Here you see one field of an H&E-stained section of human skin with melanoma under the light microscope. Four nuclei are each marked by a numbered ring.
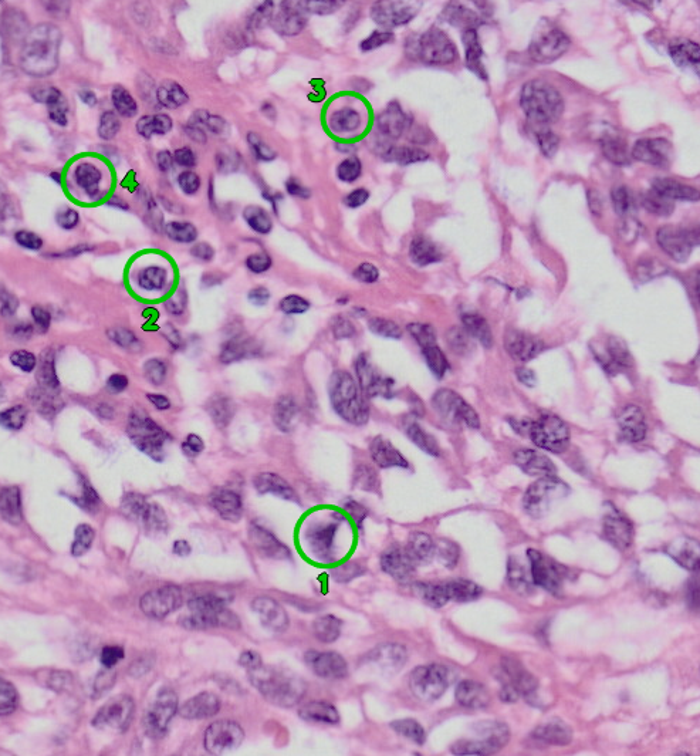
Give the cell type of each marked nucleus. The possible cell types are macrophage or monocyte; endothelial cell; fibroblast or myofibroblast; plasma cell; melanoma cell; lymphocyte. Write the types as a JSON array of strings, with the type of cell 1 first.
["melanoma cell", "lymphocyte", "lymphocyte", "lymphocyte"]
